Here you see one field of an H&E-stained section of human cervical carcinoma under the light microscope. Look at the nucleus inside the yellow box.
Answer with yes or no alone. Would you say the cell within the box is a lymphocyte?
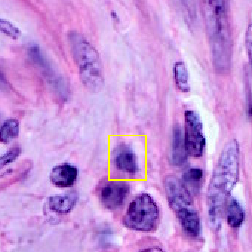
yes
